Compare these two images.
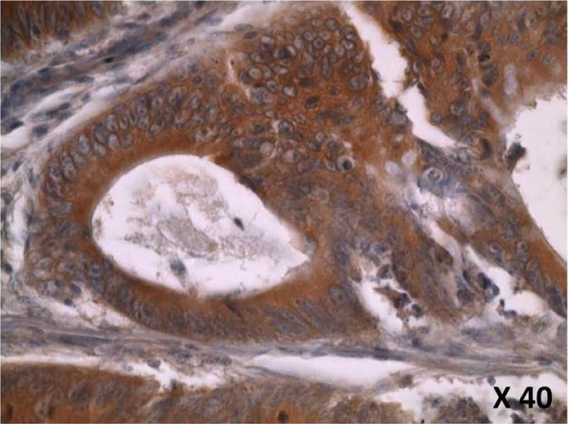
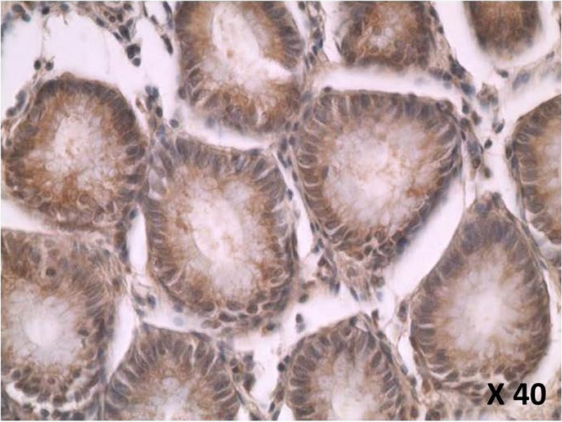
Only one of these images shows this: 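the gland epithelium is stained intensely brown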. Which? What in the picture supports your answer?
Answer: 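First image: the epithelium is deep, uniform brown throughout. Second image: the gland lining is a lighter brown with paler centres.
The first image.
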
